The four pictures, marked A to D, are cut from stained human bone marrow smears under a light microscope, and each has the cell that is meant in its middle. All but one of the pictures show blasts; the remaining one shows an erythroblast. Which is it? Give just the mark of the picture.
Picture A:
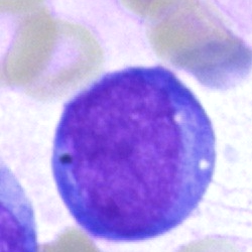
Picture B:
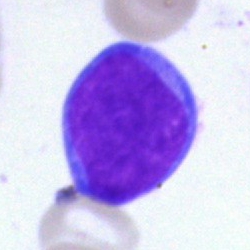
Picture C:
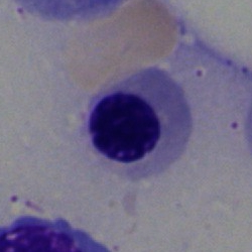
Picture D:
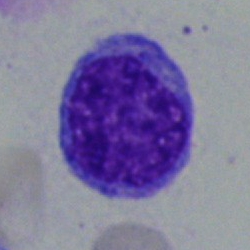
C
